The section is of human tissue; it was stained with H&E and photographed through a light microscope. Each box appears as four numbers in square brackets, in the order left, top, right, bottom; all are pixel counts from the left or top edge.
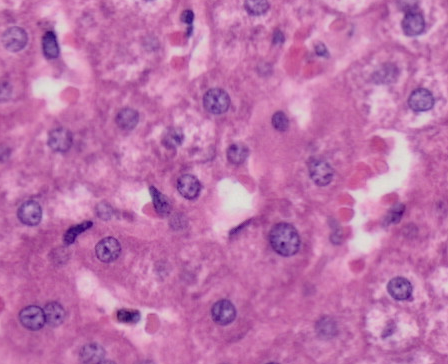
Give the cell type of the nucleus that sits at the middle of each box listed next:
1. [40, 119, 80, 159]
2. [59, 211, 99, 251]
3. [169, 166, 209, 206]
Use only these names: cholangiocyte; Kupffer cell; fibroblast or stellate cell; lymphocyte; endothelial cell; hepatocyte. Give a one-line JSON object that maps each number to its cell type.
{"1": "hepatocyte", "2": "fibroblast or stellate cell", "3": "hepatocyte"}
